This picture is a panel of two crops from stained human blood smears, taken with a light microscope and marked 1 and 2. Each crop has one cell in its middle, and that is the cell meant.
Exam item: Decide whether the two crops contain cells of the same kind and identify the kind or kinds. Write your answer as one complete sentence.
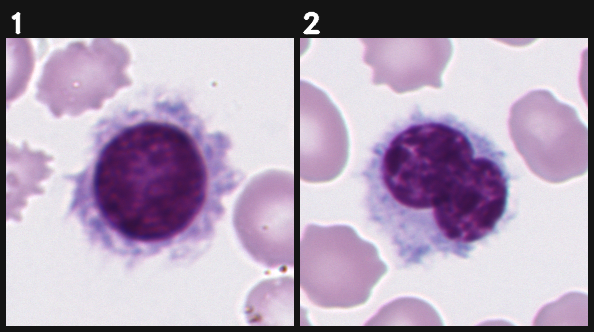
Yes, the central cells in both of the crops are hairy cells.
